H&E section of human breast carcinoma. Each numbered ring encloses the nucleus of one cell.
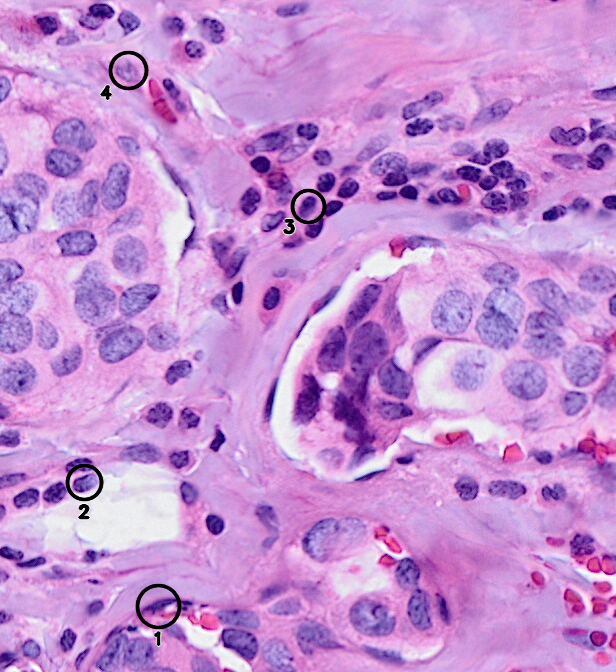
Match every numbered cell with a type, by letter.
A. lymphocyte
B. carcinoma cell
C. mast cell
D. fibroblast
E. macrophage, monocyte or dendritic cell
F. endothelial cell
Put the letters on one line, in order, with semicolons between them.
F; A; A; F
